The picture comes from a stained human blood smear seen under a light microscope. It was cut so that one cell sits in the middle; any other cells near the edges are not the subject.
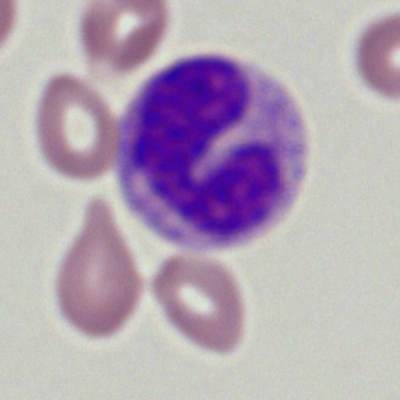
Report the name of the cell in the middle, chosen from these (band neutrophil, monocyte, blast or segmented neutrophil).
band neutrophil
